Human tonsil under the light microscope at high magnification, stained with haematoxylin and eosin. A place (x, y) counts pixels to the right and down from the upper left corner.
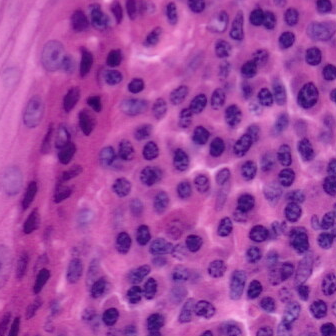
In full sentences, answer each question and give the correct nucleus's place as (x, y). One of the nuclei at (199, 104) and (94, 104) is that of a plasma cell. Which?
The nucleus at (199, 104) is the one of the two that belongs to a plasma cell.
